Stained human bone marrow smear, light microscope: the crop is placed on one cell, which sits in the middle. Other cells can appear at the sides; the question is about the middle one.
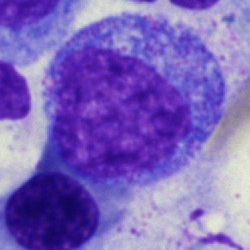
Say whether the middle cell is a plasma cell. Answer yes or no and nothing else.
no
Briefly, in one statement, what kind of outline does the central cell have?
Smooth all around, the outline has no projections to report.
